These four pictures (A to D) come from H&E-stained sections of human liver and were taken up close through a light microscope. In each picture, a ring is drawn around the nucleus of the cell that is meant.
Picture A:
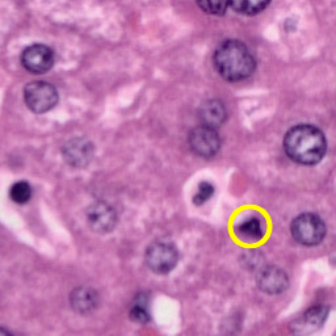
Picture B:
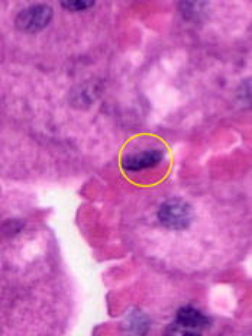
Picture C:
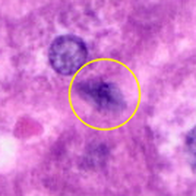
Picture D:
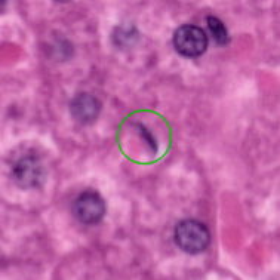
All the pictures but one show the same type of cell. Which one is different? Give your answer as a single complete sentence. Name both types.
Picture A is the odd one out: it shows a “fibroblast or stellate cell”, while the others show endothelial cells.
